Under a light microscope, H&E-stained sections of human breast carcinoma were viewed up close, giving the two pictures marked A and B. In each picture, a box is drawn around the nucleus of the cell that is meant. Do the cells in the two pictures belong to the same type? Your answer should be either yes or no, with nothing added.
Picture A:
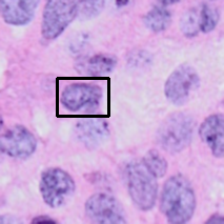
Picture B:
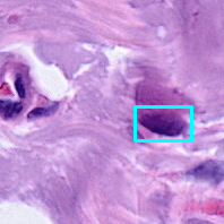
no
